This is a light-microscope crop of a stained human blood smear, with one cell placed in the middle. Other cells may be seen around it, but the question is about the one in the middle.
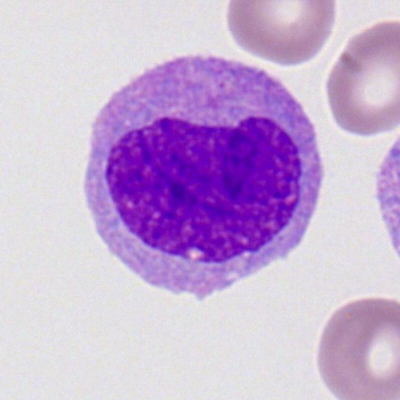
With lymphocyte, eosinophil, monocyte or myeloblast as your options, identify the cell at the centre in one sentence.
The central element of this crop is a cell, namely a myeloblast.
